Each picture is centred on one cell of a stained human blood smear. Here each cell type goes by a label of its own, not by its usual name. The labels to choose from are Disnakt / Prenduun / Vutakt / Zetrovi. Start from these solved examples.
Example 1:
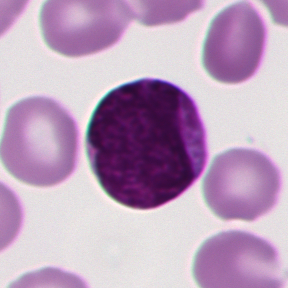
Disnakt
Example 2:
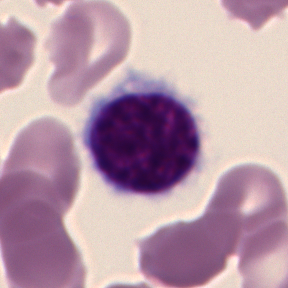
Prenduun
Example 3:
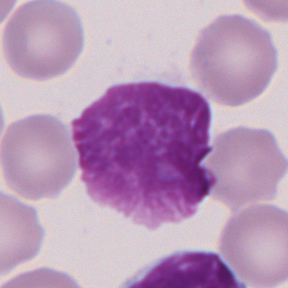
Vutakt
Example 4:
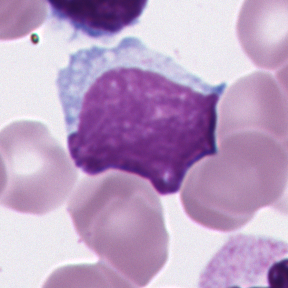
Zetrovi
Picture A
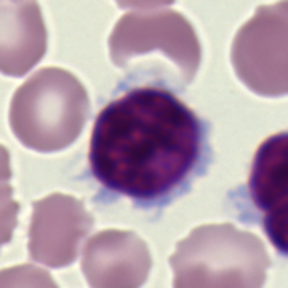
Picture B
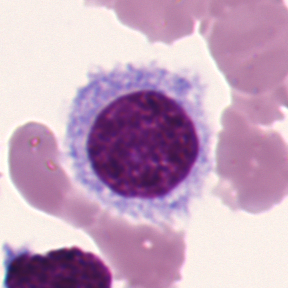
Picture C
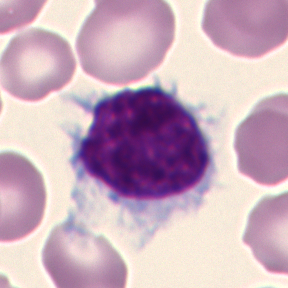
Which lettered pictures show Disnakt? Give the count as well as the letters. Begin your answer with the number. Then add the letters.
0, none of them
